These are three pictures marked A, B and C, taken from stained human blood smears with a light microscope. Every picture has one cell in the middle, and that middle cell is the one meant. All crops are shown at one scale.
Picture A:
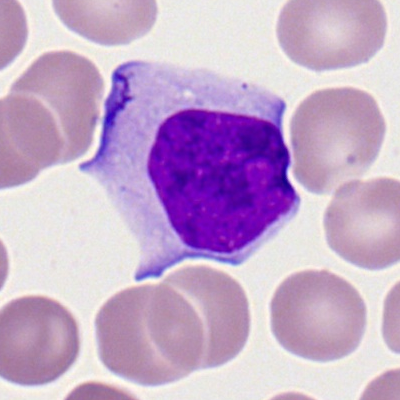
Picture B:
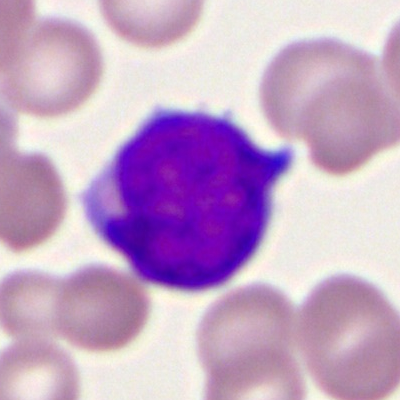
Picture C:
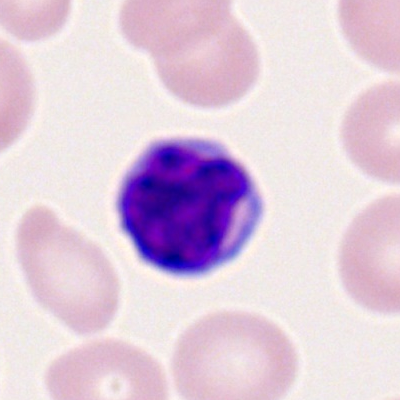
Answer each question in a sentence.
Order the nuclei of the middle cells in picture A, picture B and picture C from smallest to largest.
From the smallest up, the order is C, A, B.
